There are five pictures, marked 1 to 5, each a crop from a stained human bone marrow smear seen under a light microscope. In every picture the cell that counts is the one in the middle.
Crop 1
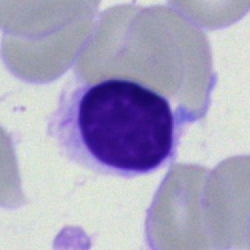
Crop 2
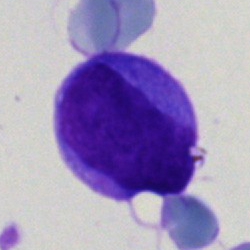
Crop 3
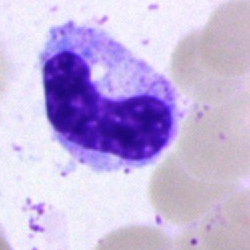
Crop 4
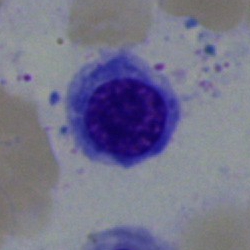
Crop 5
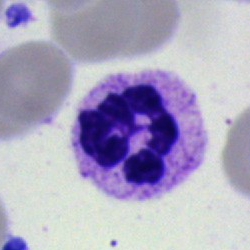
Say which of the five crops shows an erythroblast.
4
